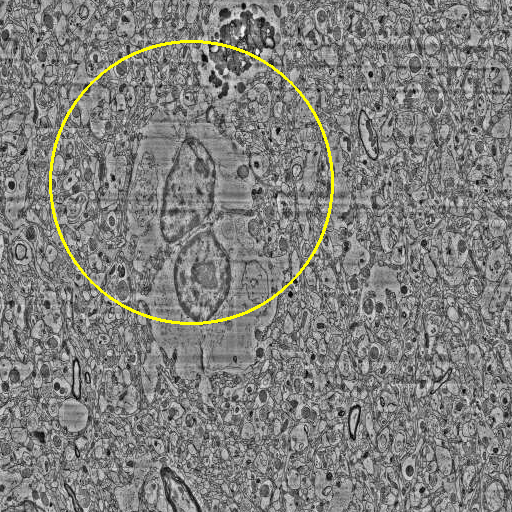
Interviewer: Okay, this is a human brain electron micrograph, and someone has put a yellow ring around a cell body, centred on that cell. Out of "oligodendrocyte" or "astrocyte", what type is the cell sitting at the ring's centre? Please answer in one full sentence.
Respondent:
The cell at the centre of the yellow ring in this picture is an astrocyte.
